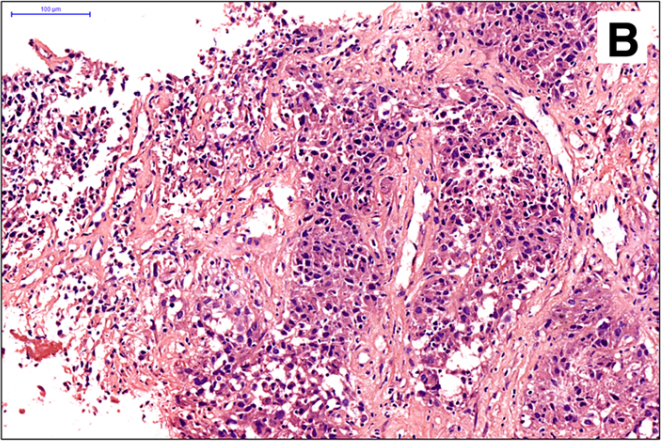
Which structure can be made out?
Atypical epithelioid tumor cell nests.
